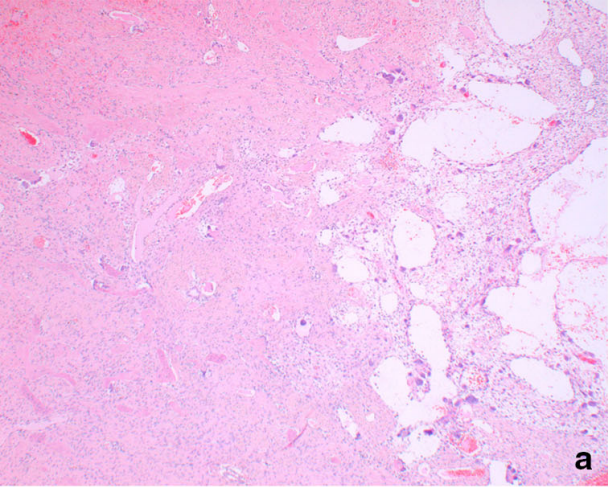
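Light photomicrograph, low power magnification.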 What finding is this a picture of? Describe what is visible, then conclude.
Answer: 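Solid pink fibrous tissue with scattered bony strands fills the left side. Many empty rounded spaces occupy the right side. The solid and spaced-out areas blend into each other.
Fibro-osseous lesion merging with a cystic lesion.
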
